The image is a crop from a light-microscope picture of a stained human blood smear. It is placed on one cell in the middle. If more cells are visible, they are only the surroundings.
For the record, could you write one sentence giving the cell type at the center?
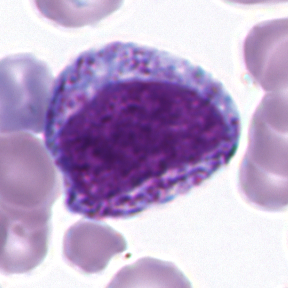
As for the cell in the middle, it is a promyelocyte.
